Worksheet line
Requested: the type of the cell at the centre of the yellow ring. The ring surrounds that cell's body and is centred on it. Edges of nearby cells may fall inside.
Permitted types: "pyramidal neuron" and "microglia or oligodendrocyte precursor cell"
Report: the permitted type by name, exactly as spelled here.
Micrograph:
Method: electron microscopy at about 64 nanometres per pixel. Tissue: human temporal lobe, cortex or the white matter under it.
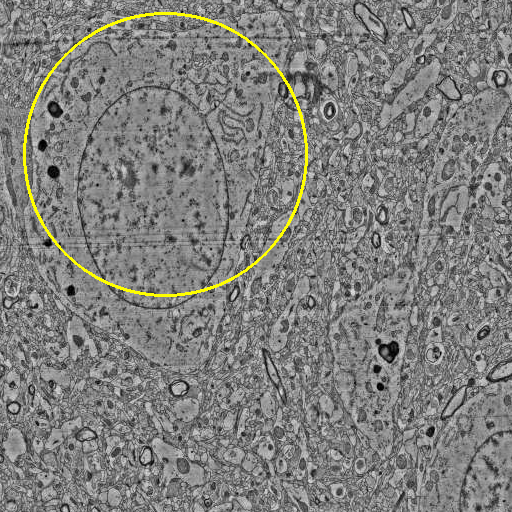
pyramidal neuron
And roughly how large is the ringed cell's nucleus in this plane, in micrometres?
The nucleus of the ringed cell is approximately 14 by 10 micrometres in this plane.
